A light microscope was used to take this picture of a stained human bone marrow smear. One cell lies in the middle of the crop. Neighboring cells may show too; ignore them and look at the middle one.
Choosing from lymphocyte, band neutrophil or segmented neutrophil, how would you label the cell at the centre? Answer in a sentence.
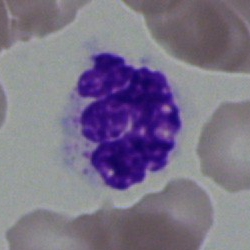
In the crop, the cell of interest at the centre is a segmented neutrophil.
